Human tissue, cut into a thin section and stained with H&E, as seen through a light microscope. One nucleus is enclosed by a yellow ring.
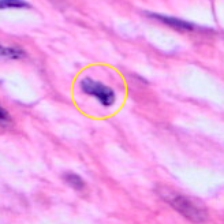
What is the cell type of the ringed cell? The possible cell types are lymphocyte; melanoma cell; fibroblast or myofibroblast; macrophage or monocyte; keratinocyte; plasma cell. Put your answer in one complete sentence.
Among the cells in this section, the ringed cell is a lymphocyte.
